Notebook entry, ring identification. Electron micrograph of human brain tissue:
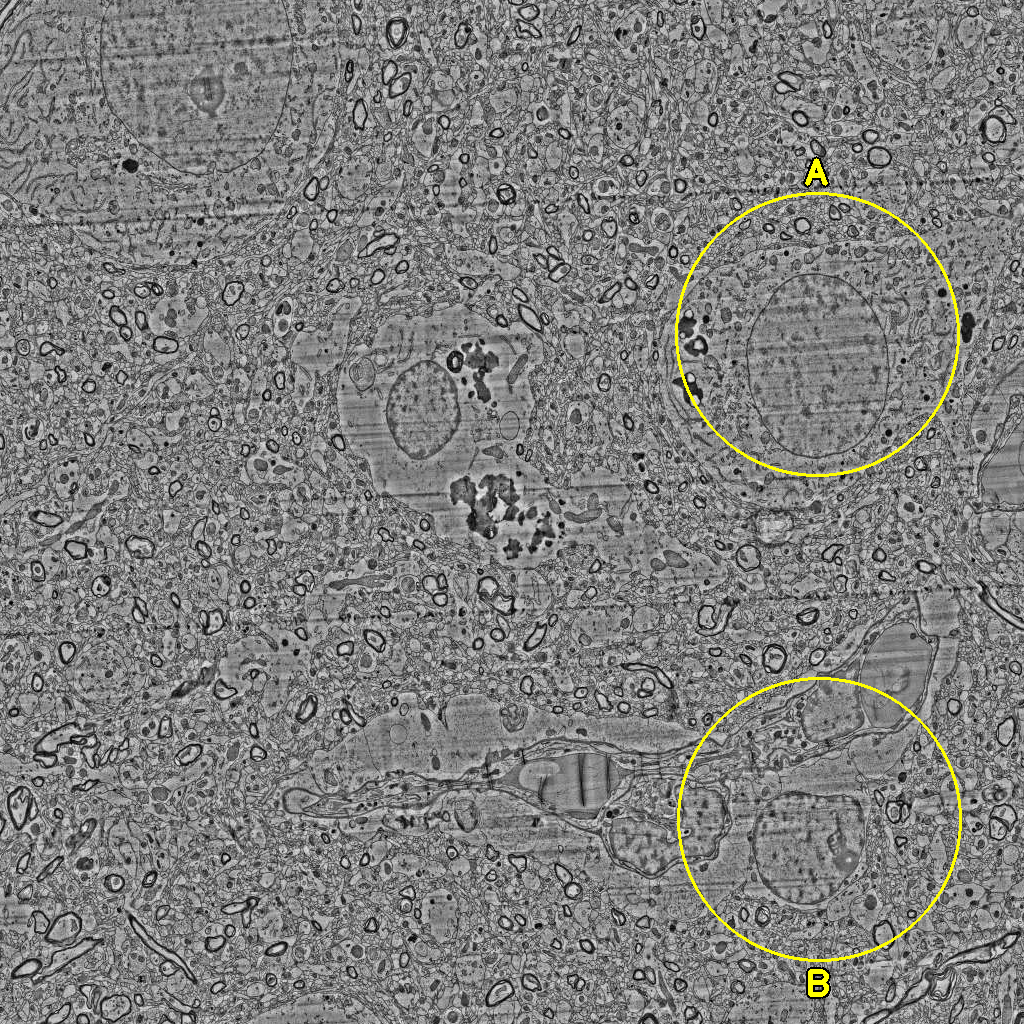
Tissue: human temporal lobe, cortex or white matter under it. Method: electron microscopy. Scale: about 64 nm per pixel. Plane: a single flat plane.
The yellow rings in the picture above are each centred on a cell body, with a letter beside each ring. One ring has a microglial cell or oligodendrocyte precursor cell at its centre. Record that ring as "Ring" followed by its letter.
Ring B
